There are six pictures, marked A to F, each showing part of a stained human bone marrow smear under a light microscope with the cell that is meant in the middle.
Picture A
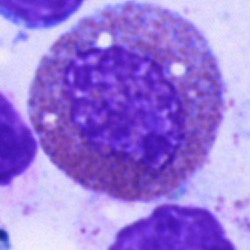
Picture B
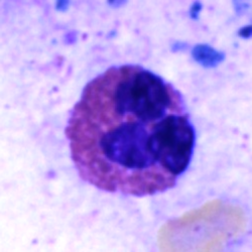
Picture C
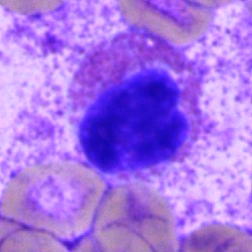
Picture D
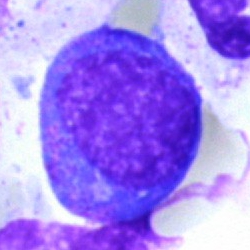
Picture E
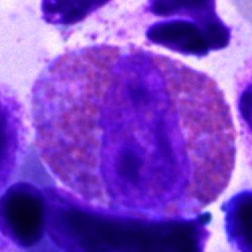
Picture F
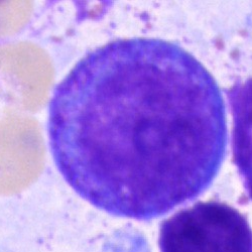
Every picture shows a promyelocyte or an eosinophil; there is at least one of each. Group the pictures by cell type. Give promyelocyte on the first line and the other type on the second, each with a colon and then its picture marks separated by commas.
promyelocyte: D, F
eosinophil: A, B, C, E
